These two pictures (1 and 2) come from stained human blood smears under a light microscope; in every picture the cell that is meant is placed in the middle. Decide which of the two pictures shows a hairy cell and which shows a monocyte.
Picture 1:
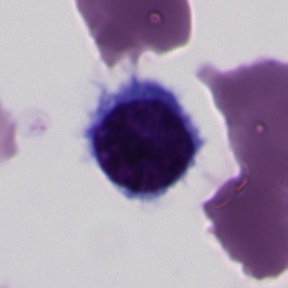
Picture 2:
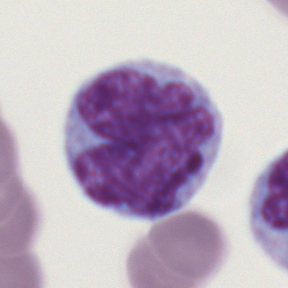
1: hairy cell
2: monocyte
